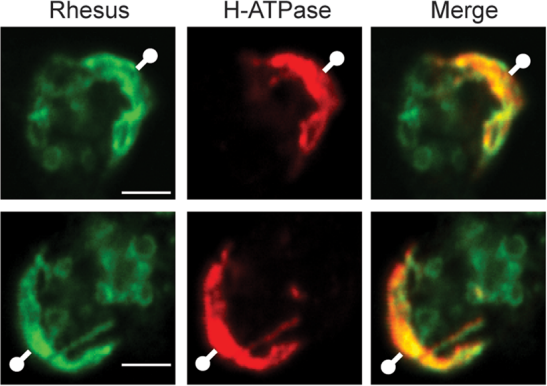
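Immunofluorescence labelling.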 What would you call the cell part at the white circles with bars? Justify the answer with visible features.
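The marks point to a crescent-shaped network of tubules and bladders along the cell edge. This network is labelled in both green and red. In the merge it appears yellow.
Answer: contractile vacuole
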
